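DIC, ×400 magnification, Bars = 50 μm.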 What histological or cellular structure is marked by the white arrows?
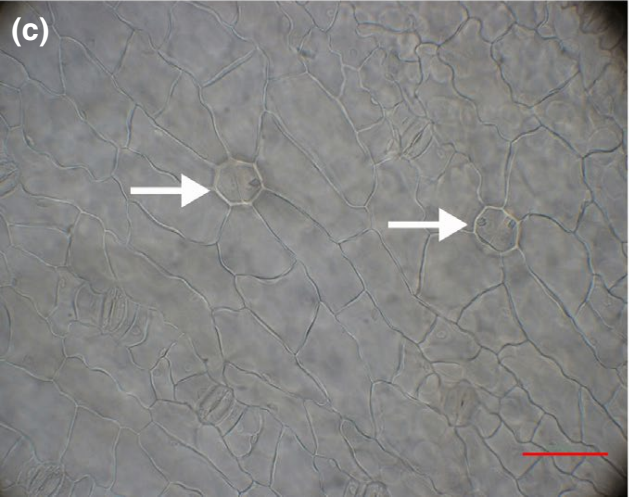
Salt glands.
